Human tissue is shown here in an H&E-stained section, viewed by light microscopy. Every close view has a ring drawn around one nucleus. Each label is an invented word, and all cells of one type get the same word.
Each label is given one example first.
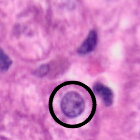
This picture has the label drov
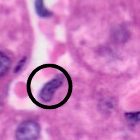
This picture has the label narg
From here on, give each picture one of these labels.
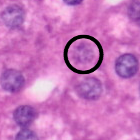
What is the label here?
drov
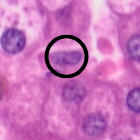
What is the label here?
narg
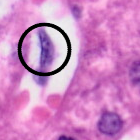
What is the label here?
narg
